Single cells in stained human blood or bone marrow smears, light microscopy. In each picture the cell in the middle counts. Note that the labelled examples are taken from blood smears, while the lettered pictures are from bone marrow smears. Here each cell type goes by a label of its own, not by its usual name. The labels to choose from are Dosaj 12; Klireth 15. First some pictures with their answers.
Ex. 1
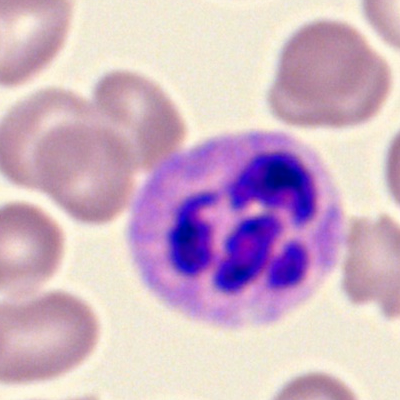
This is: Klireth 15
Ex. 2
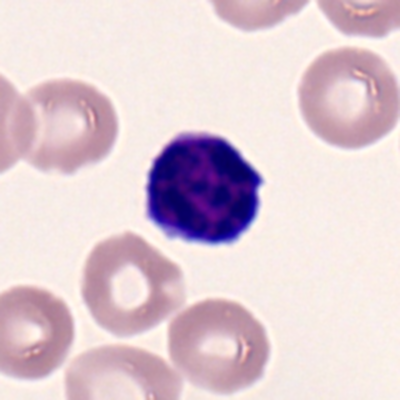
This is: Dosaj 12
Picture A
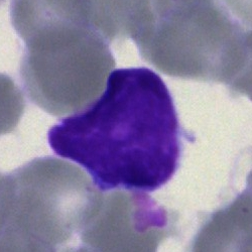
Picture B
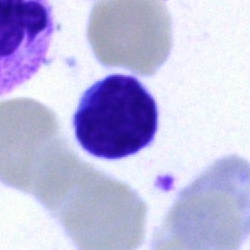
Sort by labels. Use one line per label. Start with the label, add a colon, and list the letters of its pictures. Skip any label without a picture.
Dosaj 12: A, B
